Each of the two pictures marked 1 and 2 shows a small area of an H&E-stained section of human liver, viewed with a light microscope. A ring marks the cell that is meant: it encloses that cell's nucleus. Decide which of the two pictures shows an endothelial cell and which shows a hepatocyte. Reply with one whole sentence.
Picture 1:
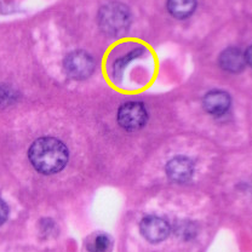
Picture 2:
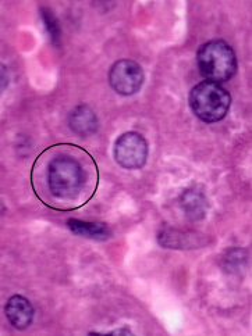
In picture 1 the cell is an endothelial cell; in picture 2, a hepatocyte.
